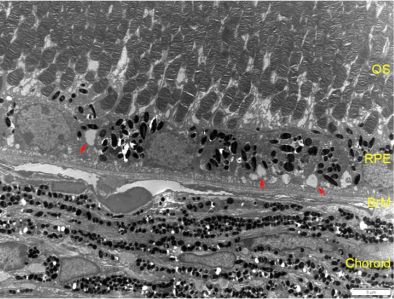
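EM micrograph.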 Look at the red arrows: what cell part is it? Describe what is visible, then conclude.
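The arrowed structures are pale, round, electron-lucent spaces. They lie within the pigmented epithelial layer above Bruch's membrane. That points to this answer: intracellular vacuoles.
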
